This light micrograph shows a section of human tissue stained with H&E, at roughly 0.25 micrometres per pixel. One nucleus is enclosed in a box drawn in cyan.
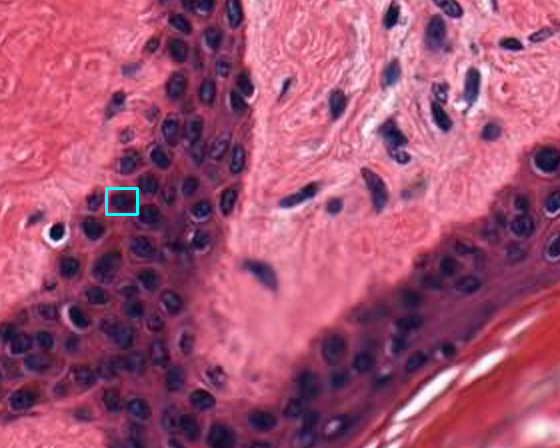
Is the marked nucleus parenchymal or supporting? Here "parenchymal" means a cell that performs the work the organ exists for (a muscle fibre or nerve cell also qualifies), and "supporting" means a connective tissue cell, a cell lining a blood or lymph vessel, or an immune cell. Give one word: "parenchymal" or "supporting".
parenchymal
